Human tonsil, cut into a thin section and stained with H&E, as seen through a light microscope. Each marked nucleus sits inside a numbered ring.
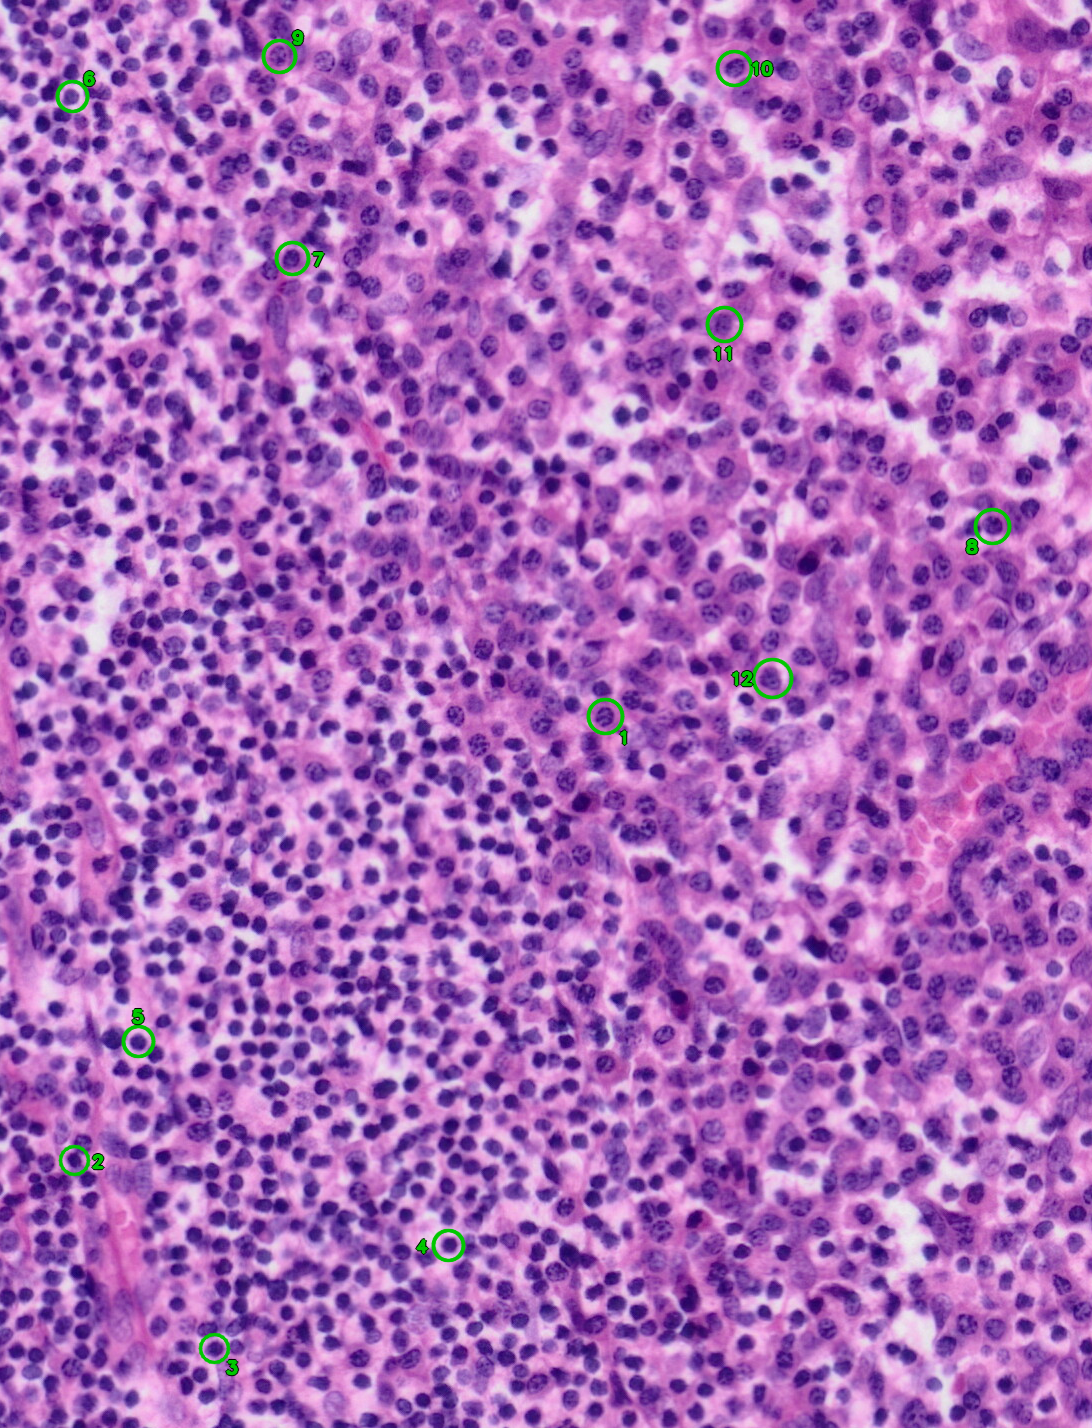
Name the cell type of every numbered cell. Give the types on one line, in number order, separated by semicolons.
plasma cell; small lymphocyte; small lymphocyte; small lymphocyte; small lymphocyte; small lymphocyte; plasma cell; plasma cell; plasma cell; plasma cell; plasma cell; plasma cell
